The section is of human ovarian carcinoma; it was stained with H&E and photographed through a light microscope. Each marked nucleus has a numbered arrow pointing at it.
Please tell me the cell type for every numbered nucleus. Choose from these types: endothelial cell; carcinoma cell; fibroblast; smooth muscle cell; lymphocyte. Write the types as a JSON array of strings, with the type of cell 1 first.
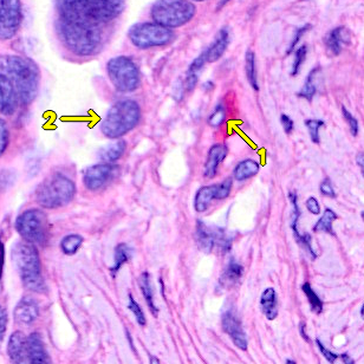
["endothelial cell", "carcinoma cell"]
